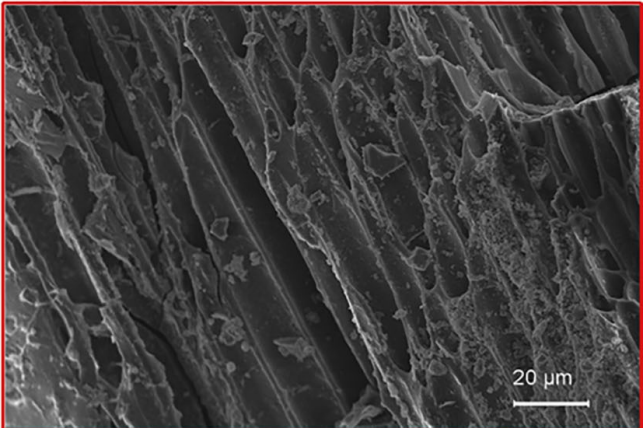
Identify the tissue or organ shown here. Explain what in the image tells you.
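Long narrow tube-like cells lying parallel in a diagonal direction. Cell walls form ridges between adjacent elongated lumina. So: vascular tissues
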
